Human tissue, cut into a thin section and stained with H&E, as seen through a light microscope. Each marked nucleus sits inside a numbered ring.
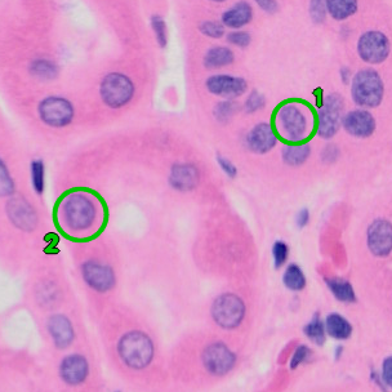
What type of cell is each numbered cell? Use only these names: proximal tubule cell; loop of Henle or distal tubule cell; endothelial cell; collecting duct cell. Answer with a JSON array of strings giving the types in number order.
["collecting duct cell", "proximal tubule cell"]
